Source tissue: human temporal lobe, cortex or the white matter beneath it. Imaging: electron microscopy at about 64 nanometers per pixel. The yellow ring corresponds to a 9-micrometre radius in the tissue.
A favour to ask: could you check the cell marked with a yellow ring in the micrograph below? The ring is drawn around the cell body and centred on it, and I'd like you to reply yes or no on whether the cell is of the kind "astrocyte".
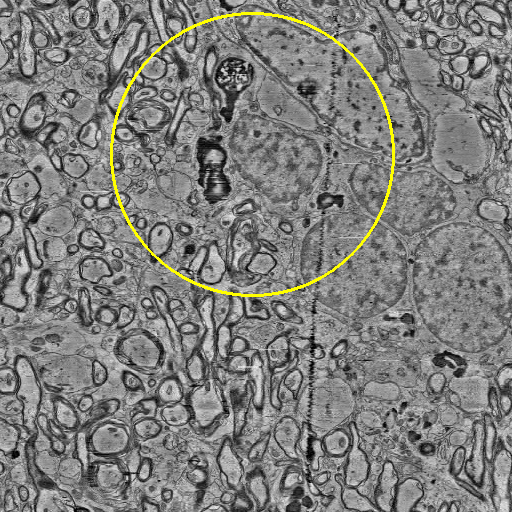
no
